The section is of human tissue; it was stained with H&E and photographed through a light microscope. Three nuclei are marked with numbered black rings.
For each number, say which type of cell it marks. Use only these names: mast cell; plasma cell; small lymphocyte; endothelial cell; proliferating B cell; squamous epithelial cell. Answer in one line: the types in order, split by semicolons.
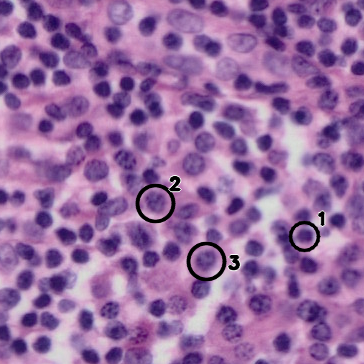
small lymphocyte; plasma cell; plasma cell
